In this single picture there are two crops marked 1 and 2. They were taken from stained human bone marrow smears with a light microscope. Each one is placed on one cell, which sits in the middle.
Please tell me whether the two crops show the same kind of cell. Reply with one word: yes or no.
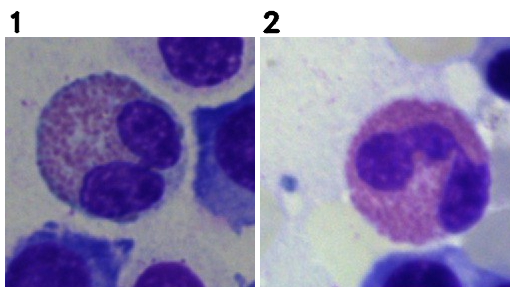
yes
